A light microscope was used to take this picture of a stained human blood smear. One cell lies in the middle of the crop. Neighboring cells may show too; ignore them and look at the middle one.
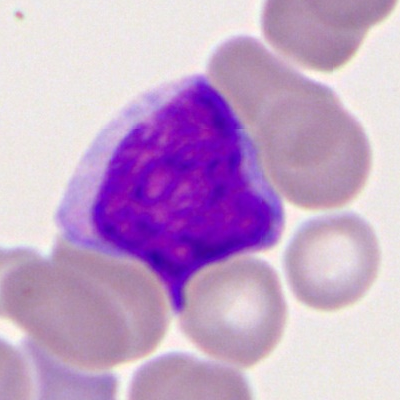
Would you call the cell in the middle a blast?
yes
